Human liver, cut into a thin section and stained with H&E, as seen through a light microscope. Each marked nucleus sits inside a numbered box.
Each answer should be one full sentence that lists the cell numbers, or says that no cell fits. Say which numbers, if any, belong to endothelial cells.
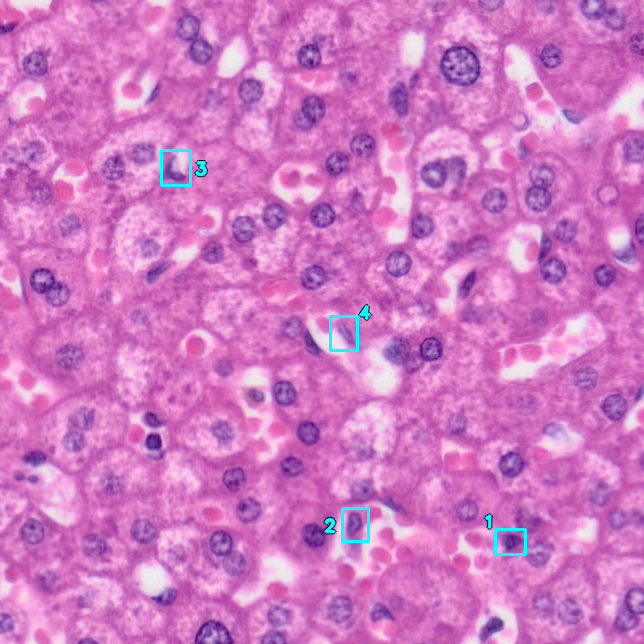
Cell 3 is an endothelial cell, and this holds for no other numbered cell.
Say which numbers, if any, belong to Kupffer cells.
The cells bearing the numbers 2 and 4 are Kupffer cells.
